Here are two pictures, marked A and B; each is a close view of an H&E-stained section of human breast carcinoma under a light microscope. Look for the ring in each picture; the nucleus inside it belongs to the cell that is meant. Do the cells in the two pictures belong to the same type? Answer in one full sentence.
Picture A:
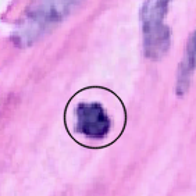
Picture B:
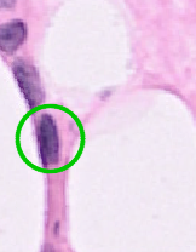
No; the cell in picture A is a lymphocyte, while the one in picture B is an endothelial cell.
